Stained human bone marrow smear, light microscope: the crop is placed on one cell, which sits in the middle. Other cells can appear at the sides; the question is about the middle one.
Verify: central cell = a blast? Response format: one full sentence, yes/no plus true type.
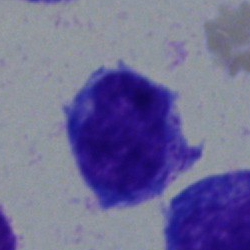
Yes, this central cell is a blast.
